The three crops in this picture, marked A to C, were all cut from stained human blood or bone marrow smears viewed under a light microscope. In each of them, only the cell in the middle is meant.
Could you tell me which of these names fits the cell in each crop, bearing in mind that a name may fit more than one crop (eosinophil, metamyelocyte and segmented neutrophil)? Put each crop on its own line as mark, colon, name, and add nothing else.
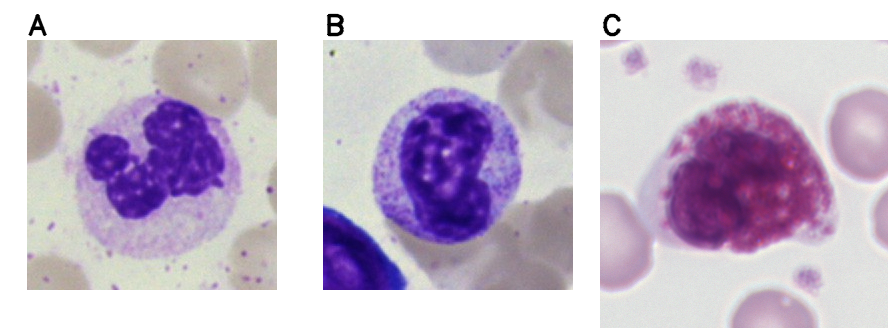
A: segmented neutrophil
B: metamyelocyte
C: eosinophil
